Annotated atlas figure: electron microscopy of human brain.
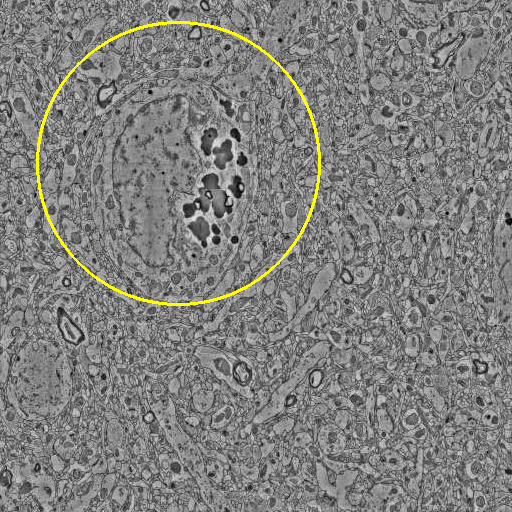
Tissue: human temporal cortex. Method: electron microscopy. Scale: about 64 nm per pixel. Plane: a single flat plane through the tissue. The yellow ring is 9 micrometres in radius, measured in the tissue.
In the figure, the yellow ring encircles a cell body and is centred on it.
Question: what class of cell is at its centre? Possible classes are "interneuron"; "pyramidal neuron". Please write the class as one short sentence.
The yellow ring is drawn around an interneuron.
